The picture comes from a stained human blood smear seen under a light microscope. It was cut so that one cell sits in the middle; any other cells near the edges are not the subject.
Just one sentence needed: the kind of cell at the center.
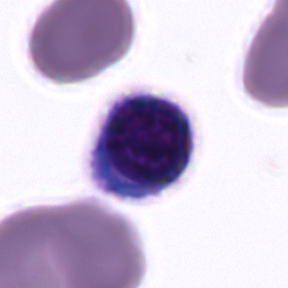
Classified as a plasma cell is the cell in the middle of this crop.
